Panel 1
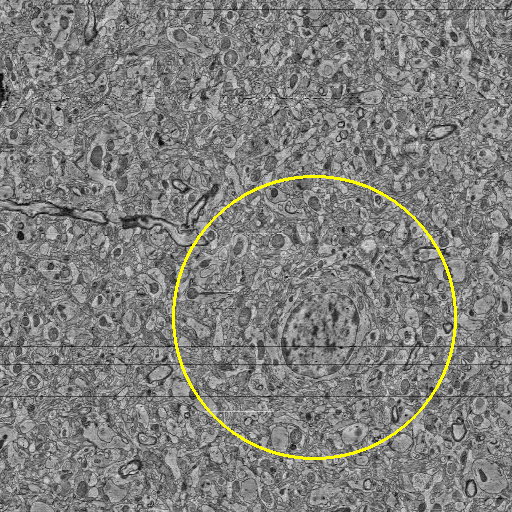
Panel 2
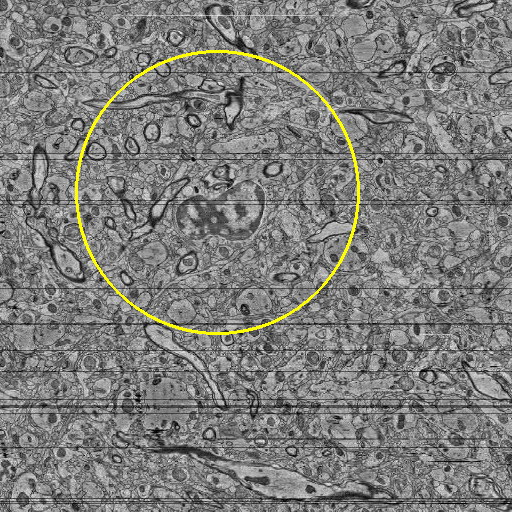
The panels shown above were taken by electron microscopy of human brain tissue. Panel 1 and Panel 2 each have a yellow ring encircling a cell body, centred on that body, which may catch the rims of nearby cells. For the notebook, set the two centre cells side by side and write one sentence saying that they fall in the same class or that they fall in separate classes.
The centred cells of Panel 1 and Panel 2 fall in the same class.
